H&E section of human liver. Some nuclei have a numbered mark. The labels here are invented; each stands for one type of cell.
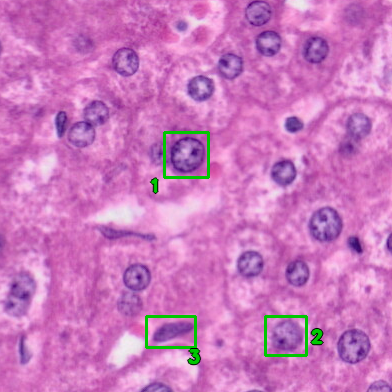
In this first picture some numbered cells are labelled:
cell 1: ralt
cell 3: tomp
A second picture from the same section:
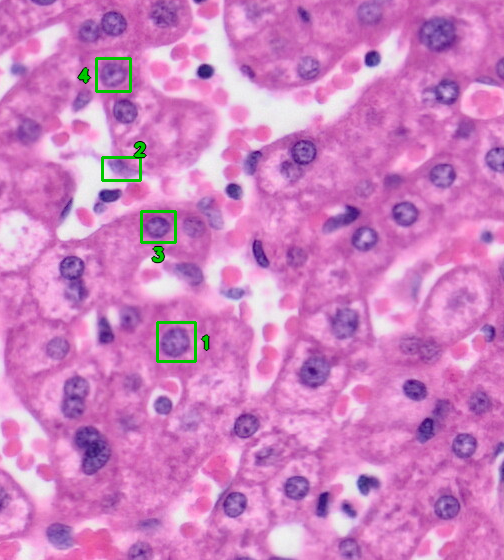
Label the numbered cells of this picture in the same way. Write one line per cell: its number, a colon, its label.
1: ralt
2: tomp
3: ralt
4: ralt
